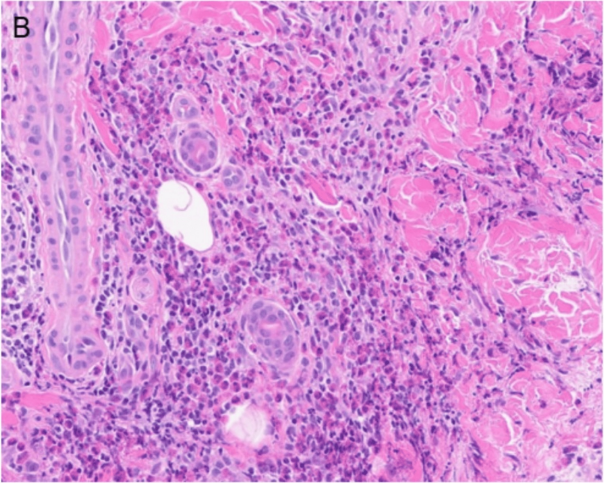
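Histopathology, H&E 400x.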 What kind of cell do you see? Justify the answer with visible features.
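A dense infiltrate of round cells in the connective tissue. Many of the cells have bright pink-red granular cytoplasm. Their nuclei are small and dark.
Eosinophils.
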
